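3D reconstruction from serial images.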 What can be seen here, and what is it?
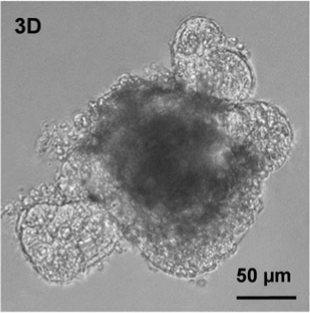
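A dark, dense central body is surrounded by several rounded buds that bulge outward from its margin. The buds are bounded by a layer of epithelial cells whose outlines can be made out. Loose cells and fragments lie scattered along the outer edge.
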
